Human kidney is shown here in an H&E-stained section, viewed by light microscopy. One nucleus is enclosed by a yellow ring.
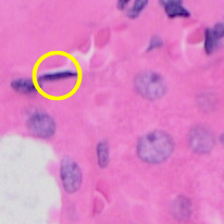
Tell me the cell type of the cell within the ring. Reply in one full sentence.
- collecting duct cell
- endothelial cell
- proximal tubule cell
In cell-type terms, the cell within the ring is an endothelial cell.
